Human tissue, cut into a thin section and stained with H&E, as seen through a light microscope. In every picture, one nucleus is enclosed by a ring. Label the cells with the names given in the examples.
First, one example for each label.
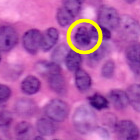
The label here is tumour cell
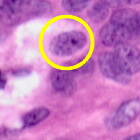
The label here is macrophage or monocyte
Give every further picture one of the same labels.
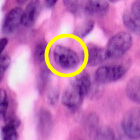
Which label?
macrophage or monocyte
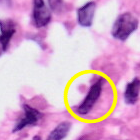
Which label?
macrophage or monocyte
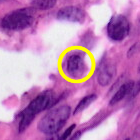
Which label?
macrophage or monocyte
